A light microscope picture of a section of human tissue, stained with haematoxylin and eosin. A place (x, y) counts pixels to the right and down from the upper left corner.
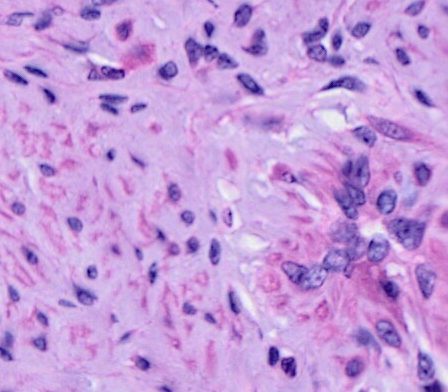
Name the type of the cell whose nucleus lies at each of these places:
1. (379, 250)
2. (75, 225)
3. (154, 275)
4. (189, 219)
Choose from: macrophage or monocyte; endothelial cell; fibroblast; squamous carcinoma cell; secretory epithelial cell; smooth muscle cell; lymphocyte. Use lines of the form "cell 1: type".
cell 1: endothelial cell
cell 2: smooth muscle cell
cell 3: smooth muscle cell
cell 4: smooth muscle cell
